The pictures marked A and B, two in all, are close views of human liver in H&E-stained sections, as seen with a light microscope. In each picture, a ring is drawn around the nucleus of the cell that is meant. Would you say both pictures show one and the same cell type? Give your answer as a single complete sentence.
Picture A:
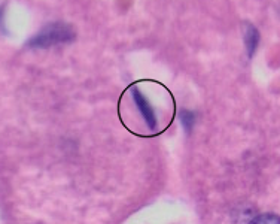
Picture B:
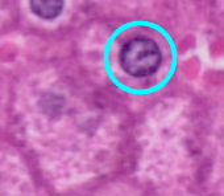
No, the types are not the same, since picture A shows an endothelial cell and picture B a hepatocyte.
